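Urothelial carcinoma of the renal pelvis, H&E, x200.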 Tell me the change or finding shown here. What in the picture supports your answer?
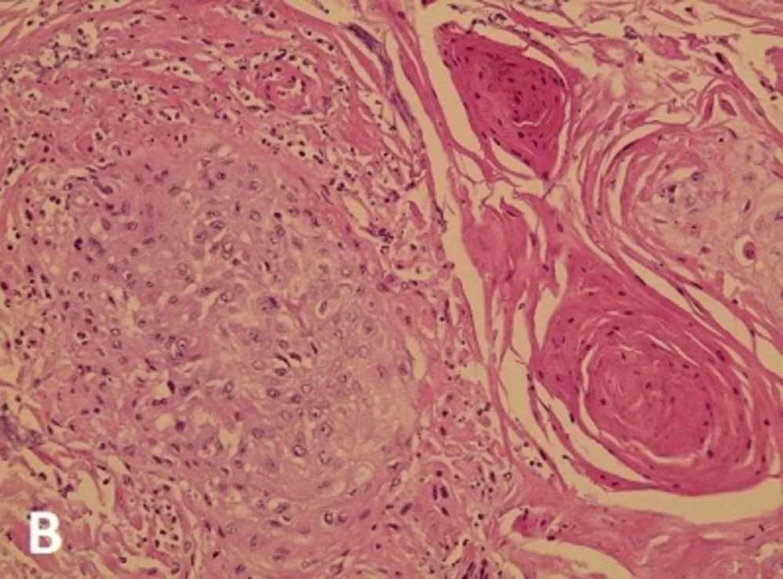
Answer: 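Squamous differentiation. Nests of polygonal cells have abundant pink cytoplasm. Concentrically layered, deep pink keratin pearls are present on the right. The cell nests lie in a fibrous stroma.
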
